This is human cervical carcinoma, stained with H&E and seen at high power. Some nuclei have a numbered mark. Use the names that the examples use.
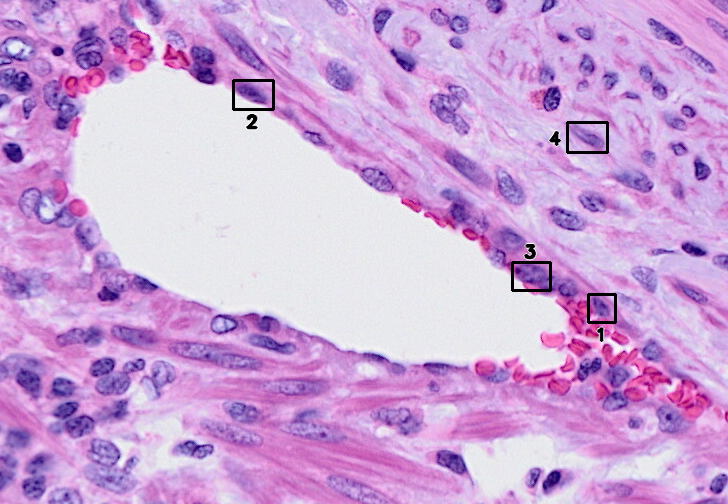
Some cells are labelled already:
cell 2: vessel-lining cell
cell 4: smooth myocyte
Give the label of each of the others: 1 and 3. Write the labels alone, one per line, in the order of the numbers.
vessel-lining cell
vessel-lining cell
